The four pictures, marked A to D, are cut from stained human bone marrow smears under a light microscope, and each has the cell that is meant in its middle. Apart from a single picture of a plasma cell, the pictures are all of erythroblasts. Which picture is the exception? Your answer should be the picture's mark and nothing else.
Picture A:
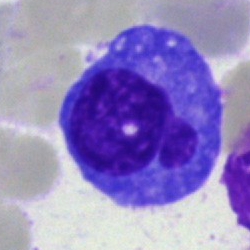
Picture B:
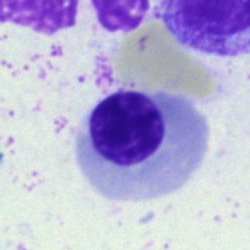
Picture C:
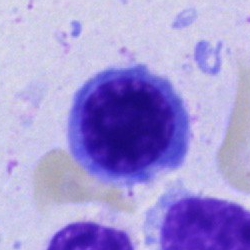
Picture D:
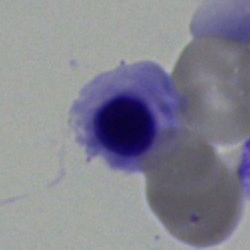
A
